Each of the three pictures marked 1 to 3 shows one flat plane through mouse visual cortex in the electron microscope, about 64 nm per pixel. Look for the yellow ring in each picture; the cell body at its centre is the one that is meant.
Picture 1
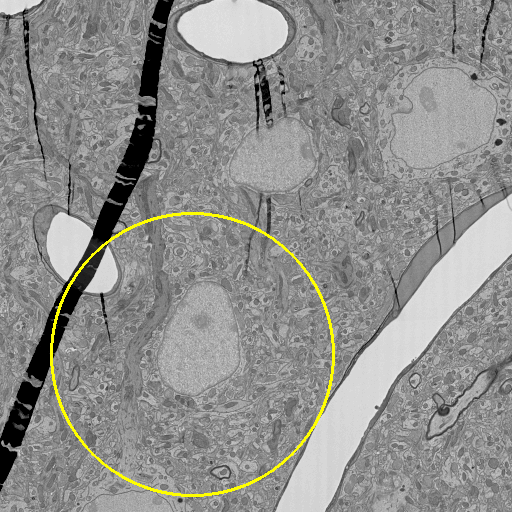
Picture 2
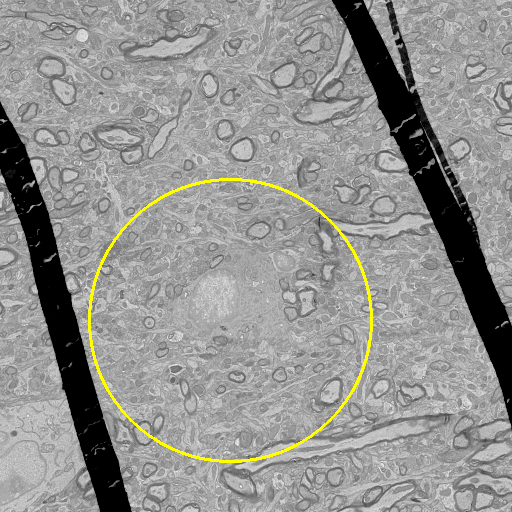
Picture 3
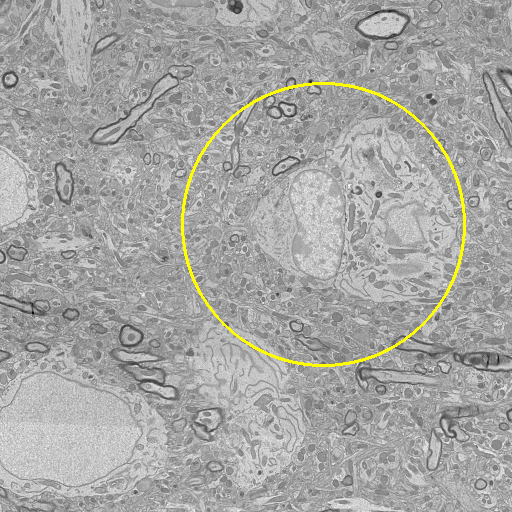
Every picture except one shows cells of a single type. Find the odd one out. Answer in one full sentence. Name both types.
Unlike the rest, which show oligodendrocytes, picture 1 shows an astrocyte.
